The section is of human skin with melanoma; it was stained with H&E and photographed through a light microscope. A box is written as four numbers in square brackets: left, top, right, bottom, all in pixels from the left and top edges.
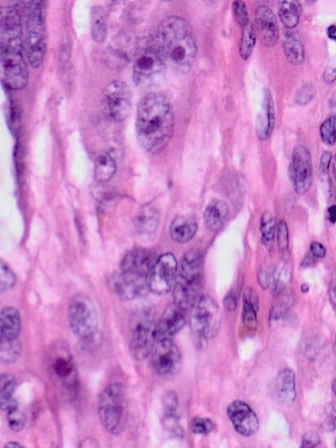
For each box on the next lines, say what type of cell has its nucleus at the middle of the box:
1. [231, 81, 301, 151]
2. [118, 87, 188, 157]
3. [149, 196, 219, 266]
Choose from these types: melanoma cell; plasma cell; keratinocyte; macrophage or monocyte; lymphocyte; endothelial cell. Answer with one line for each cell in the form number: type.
1: endothelial cell
2: melanoma cell
3: melanoma cell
